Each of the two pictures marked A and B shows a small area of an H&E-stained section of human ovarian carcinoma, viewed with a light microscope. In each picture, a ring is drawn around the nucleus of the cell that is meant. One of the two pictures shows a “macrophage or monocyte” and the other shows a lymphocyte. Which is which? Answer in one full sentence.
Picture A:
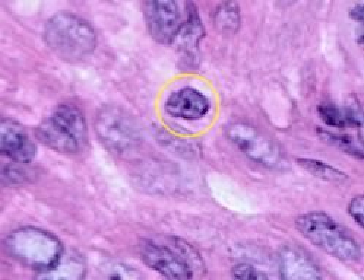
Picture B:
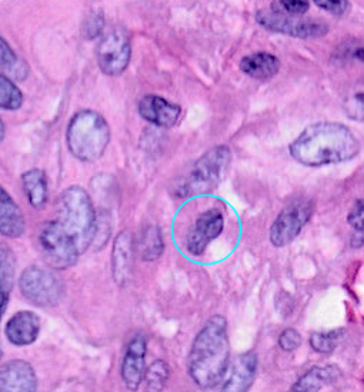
In picture A the cell is a lymphocyte; in picture B, a “macrophage or monocyte”.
